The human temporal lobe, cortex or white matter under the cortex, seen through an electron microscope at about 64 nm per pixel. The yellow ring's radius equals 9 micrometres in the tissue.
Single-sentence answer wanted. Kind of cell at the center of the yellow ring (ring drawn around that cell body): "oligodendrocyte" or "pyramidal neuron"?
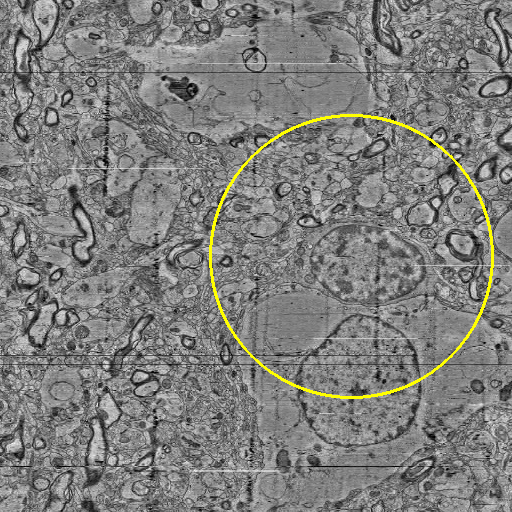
The cell centered in the ring is an oligodendrocyte.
